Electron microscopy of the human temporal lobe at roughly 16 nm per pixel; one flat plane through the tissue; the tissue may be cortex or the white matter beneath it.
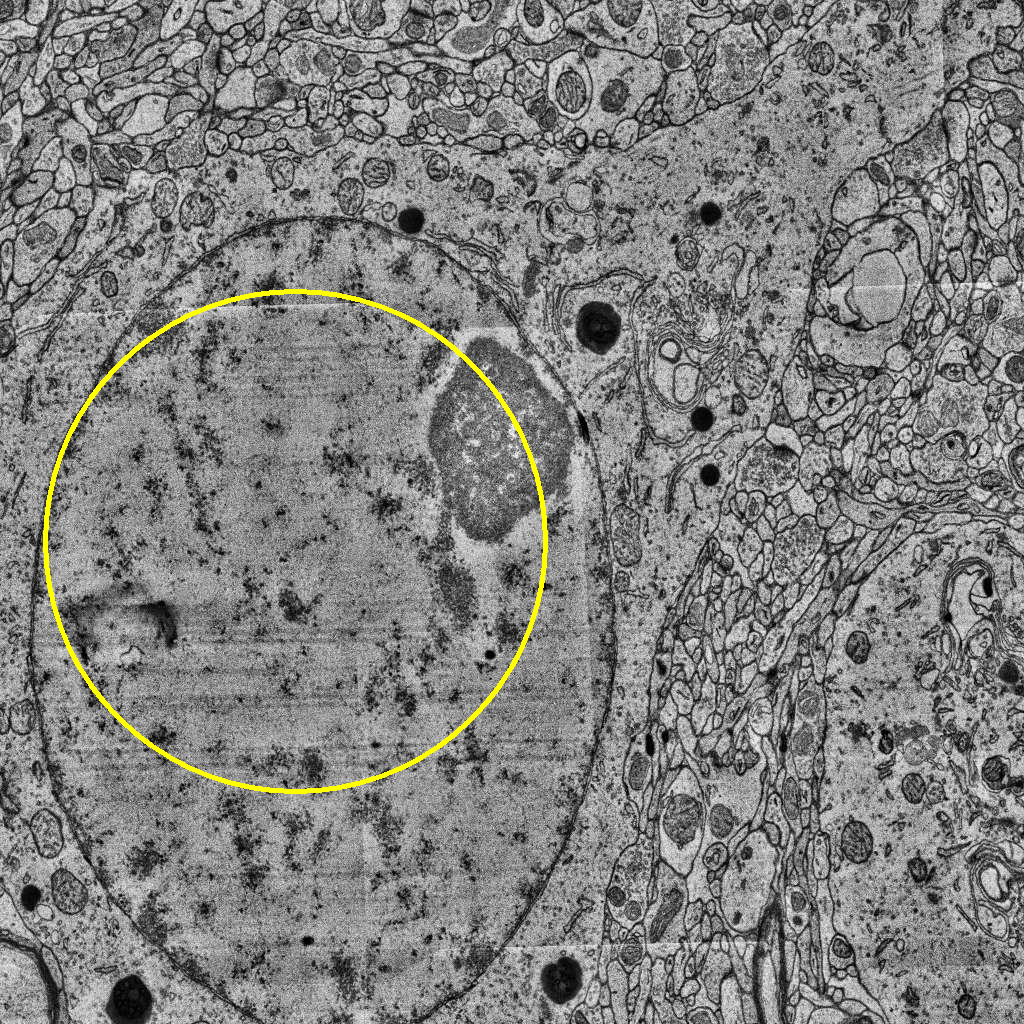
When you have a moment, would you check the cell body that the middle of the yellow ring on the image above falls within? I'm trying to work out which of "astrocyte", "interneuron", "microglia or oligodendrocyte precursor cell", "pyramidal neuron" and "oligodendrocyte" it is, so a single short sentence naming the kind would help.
This cell body belongs to a pyramidal neuron.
